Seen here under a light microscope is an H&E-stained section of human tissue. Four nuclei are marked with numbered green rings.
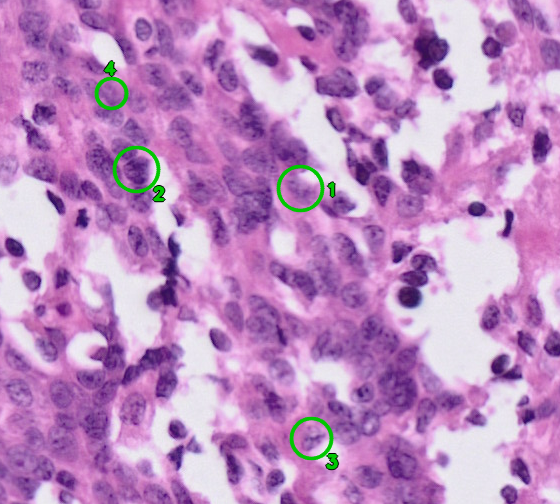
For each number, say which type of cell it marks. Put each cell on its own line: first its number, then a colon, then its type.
1: carcinoma cell
2: carcinoma cell
3: macrophage or monocyte
4: carcinoma cell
